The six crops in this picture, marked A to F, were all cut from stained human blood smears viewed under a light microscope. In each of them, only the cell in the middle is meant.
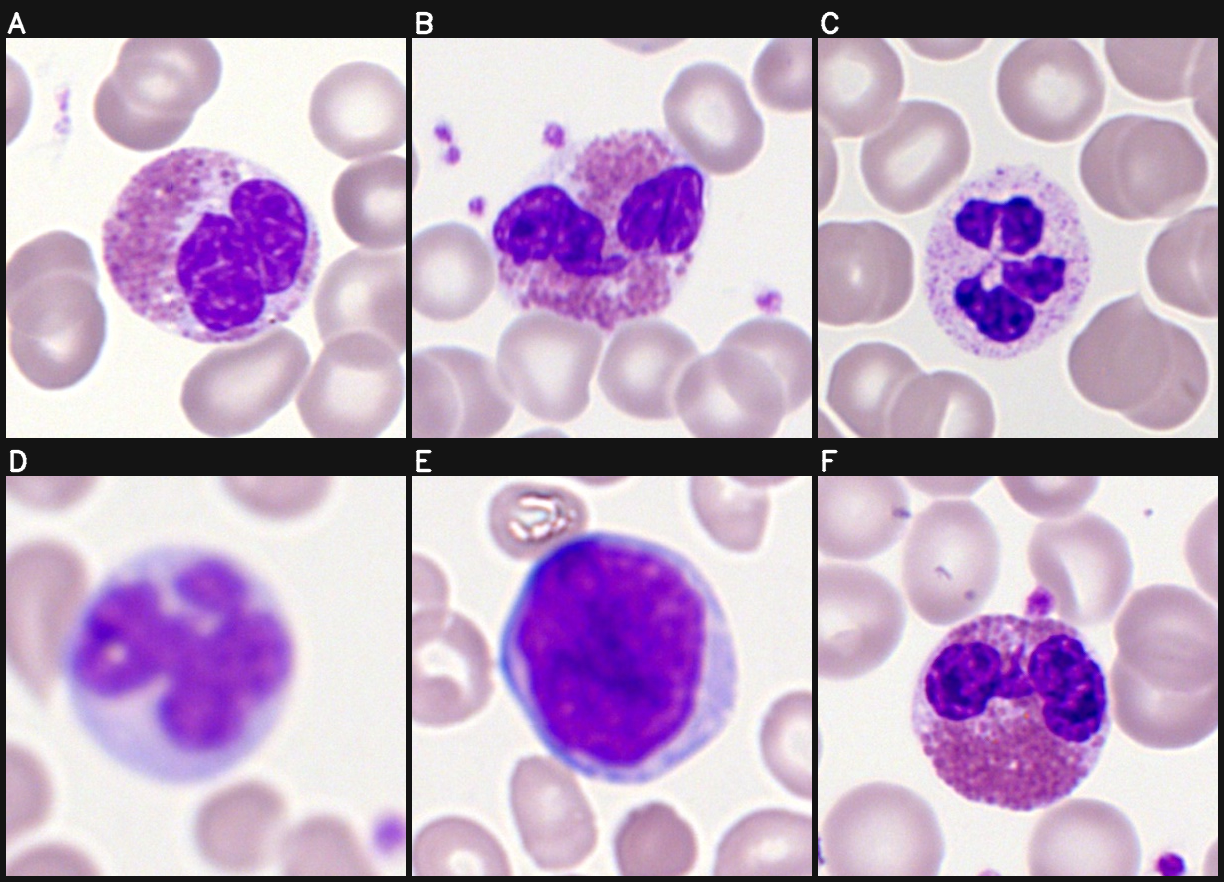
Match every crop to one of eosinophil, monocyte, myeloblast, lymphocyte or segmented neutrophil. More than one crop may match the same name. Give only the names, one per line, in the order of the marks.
eosinophil
eosinophil
segmented neutrophil
monocyte
myeloblast
eosinophil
